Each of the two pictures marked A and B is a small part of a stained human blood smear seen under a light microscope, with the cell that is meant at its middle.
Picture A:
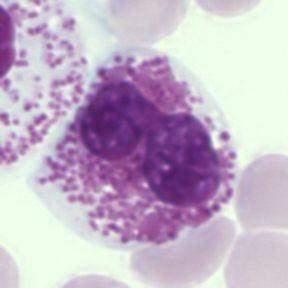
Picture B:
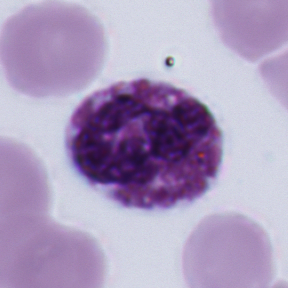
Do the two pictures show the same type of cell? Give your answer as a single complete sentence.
Yes, both cells are eosinophils.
